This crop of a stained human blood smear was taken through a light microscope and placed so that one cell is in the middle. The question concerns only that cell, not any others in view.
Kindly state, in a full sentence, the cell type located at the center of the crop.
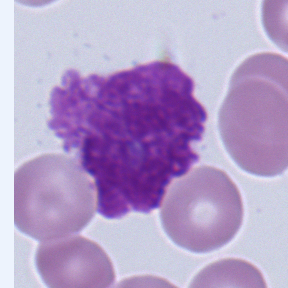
Centrally within this crop lies a smudge cell.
